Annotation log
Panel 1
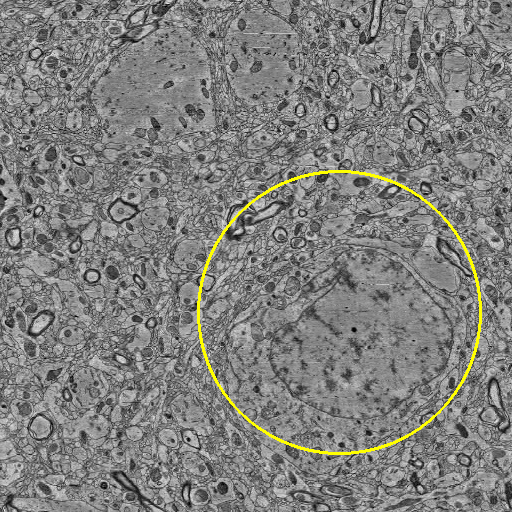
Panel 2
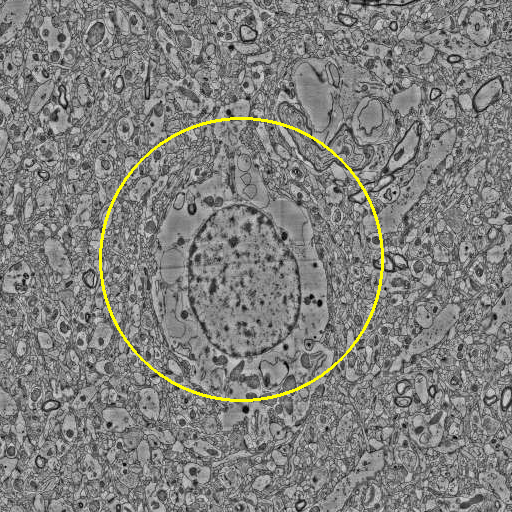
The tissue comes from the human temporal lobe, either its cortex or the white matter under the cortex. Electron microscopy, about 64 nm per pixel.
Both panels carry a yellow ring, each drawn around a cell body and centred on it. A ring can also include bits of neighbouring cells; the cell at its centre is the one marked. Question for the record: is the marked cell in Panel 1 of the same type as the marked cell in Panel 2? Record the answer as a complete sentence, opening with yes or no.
No, the marked cells in Panel 1 and Panel 2 are of two types.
